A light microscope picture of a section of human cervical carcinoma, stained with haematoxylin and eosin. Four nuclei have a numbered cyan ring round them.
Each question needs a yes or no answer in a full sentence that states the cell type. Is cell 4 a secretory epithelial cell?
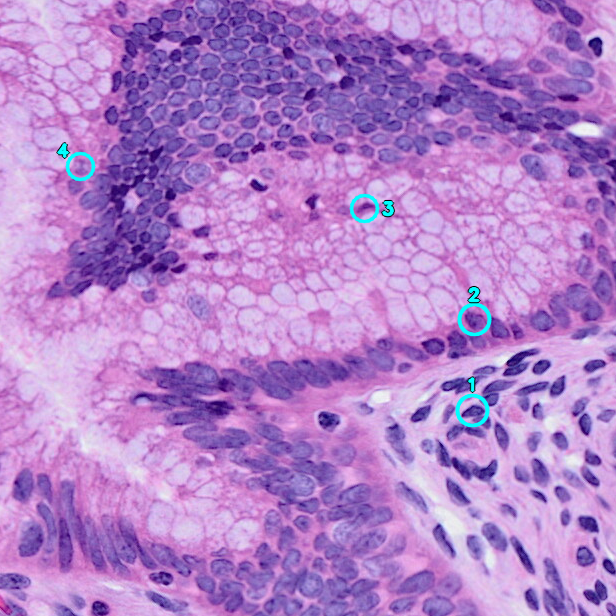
Yes, the cell at number 4 is a secretory epithelial cell.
